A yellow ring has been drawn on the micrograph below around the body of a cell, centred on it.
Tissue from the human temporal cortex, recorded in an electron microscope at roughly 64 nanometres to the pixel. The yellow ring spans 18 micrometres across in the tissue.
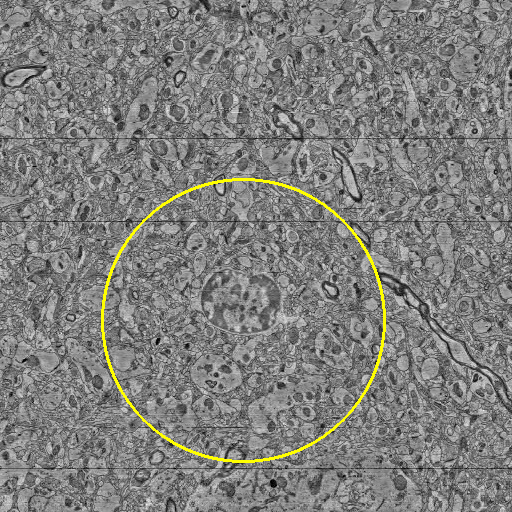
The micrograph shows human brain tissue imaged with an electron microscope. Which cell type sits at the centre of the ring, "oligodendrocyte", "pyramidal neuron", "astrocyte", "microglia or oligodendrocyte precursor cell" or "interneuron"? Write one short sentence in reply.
The cell sitting at the centre of the ring is a microglial cell or oligodendrocyte precursor cell.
